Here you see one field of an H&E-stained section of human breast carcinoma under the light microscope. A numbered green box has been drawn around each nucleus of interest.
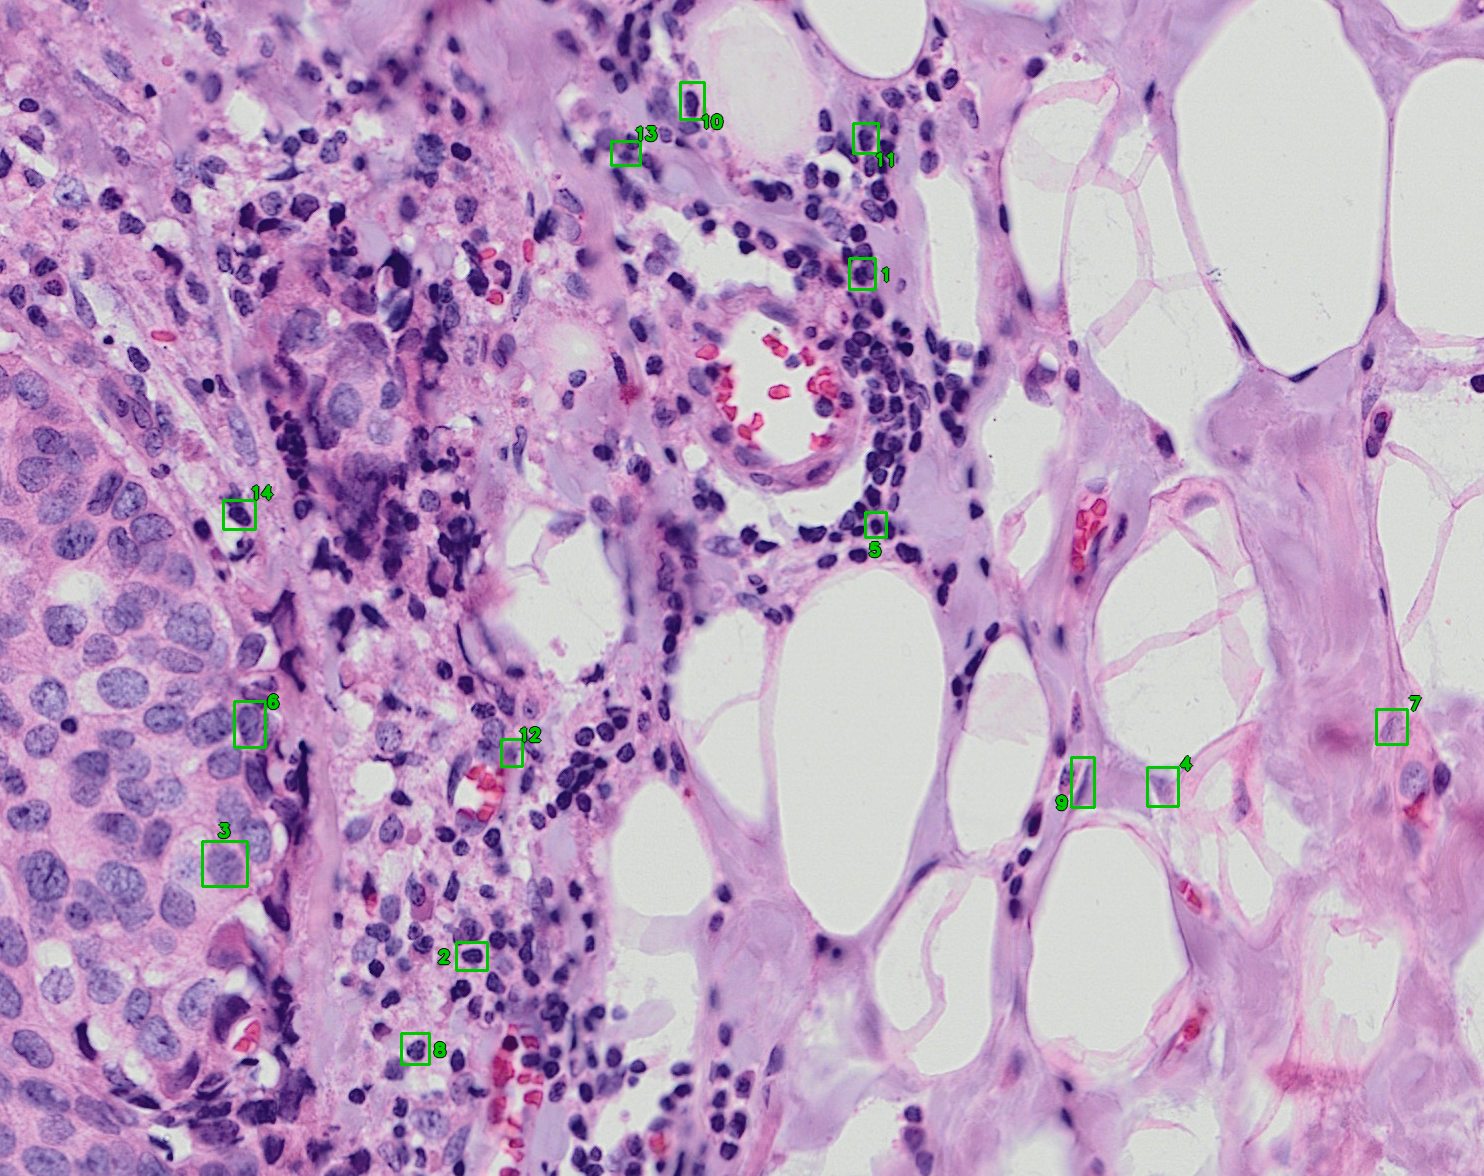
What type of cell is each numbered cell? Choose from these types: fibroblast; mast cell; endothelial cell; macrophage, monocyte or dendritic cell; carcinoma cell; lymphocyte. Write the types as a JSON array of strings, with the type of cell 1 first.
["lymphocyte", "lymphocyte", "carcinoma cell", "fibroblast", "lymphocyte", "carcinoma cell", "fibroblast", "lymphocyte", "fibroblast", "lymphocyte", "lymphocyte", "endothelial cell", "lymphocyte", "lymphocyte"]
